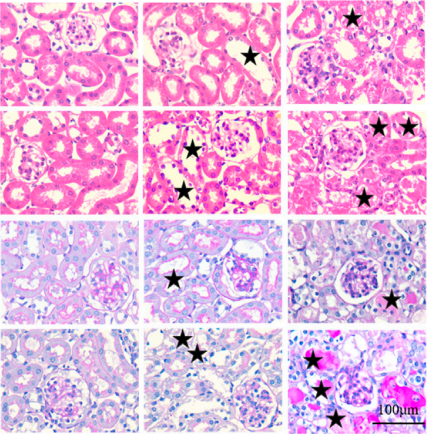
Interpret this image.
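These are sections of kidney cortex, each small image showing a glomerulus surrounded by cross-sectioned tubules. In the pink-stained images the tubules are lined by cuboidal cells with eosinophilic cytoplasm and round nuclei, and the glomeruli appear as compact, cellular capillary tufts. In the paler, purple-toned images the tubule outlines and basement membranes are picked out more sharply. In several images the tubules look dilated, with flattened or sloughed lining cells and debris in their lumens, and the black stars sit on such tubules. In the last image of the bottom row, bright magenta material fills several tubular lumens.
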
